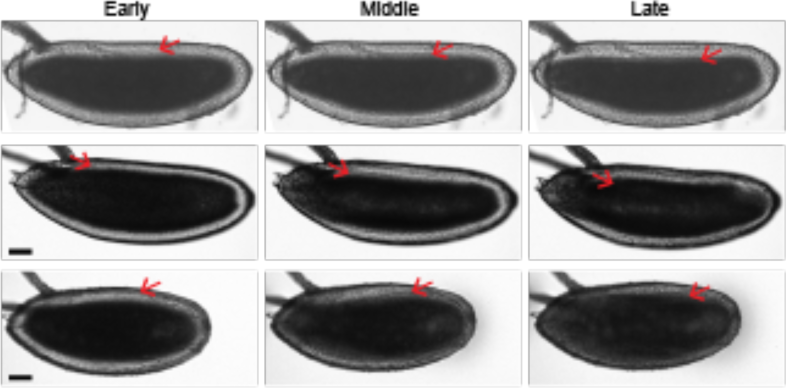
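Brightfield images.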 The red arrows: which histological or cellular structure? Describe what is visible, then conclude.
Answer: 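Cellularization front. Each embryo has a pale outer band around a dark interior. The red arrows point into the pale outer band.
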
